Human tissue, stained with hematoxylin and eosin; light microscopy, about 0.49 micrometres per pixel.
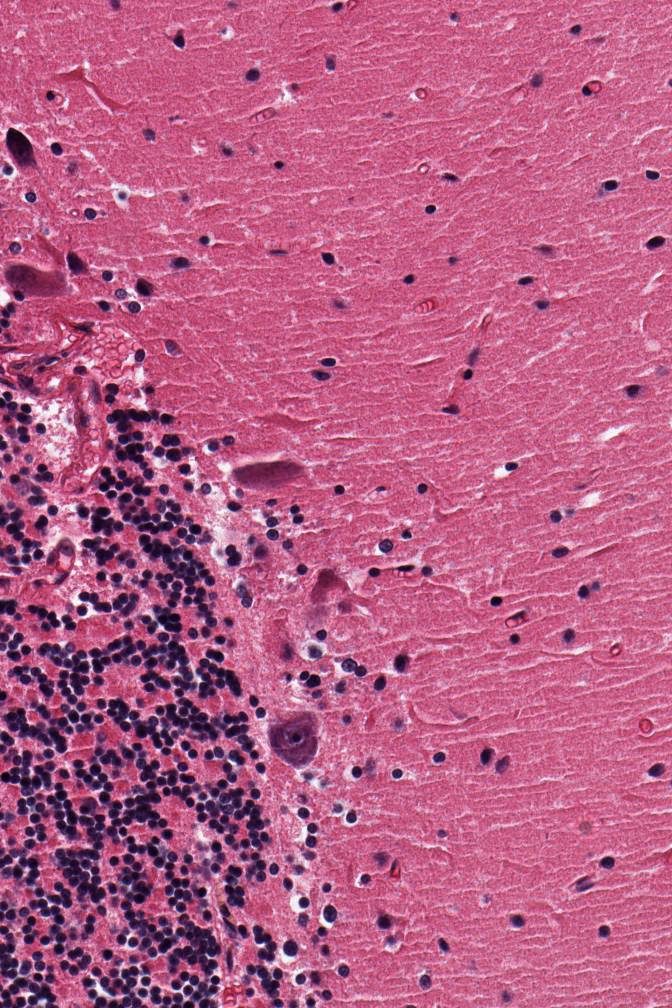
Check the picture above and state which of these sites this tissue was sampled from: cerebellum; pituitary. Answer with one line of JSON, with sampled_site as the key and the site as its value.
{"sampled_site": "cerebellum"}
